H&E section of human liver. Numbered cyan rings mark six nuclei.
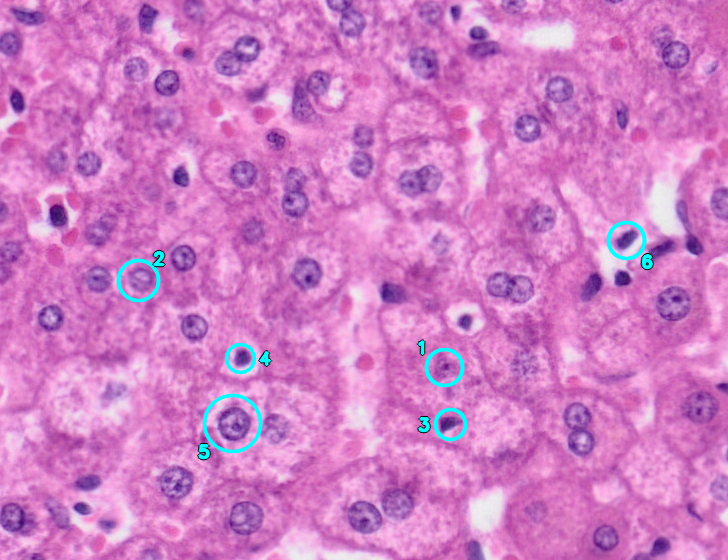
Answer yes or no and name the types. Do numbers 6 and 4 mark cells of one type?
Yes, cell 6 is one of the lymphocytes, and so is cell 4.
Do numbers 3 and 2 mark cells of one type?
No, that does not hold; cell 3 is an endothelial cell and cell 2 is a hepatocyte.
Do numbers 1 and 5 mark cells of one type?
Yes, cells number 1 and number 5 are both hepatocytes.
